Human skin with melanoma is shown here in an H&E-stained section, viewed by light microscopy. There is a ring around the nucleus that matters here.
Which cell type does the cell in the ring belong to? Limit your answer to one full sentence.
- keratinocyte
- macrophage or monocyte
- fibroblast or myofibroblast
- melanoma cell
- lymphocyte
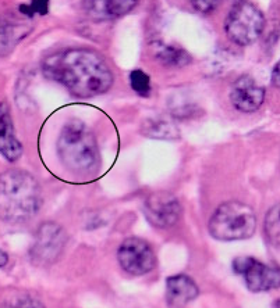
The expected answer is simply that the cell in the ring is a melanoma cell.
